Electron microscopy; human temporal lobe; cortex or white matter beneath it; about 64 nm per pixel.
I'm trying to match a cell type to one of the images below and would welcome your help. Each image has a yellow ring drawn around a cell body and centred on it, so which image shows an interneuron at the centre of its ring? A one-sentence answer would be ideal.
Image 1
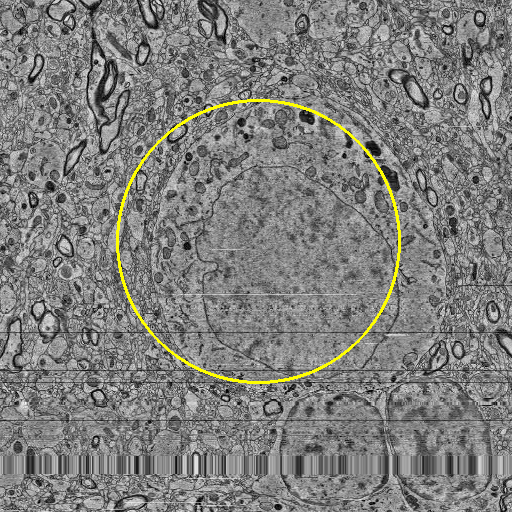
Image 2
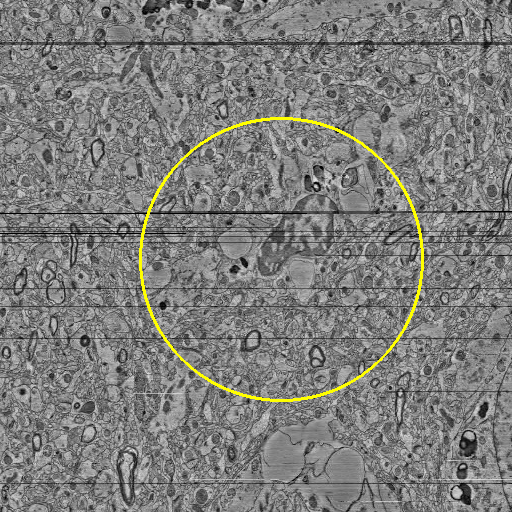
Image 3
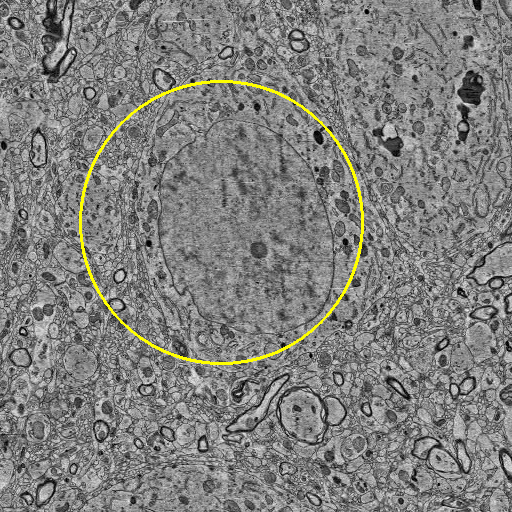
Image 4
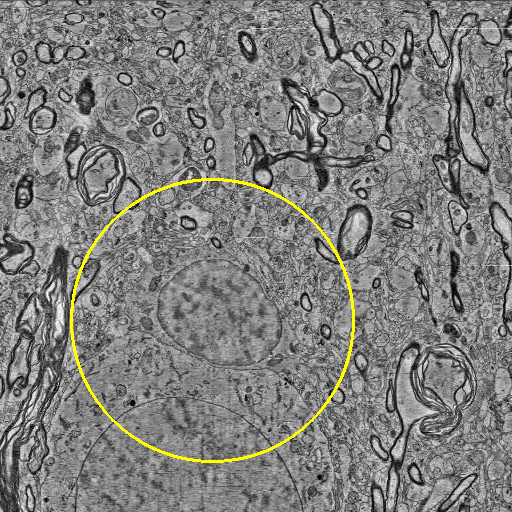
Image 3 shows it at the centre of the ring.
